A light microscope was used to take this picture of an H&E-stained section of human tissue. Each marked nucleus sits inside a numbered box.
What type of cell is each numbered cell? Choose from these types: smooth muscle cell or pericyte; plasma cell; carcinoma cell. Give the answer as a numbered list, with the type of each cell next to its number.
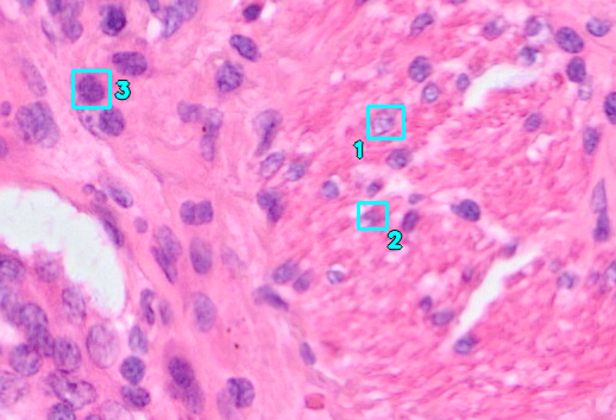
1. smooth muscle cell or pericyte
2. smooth muscle cell or pericyte
3. plasma cell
